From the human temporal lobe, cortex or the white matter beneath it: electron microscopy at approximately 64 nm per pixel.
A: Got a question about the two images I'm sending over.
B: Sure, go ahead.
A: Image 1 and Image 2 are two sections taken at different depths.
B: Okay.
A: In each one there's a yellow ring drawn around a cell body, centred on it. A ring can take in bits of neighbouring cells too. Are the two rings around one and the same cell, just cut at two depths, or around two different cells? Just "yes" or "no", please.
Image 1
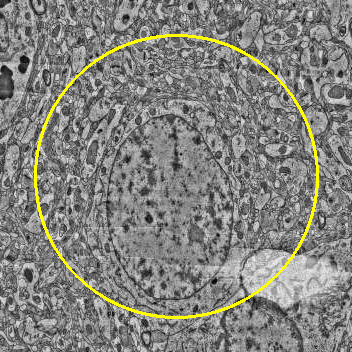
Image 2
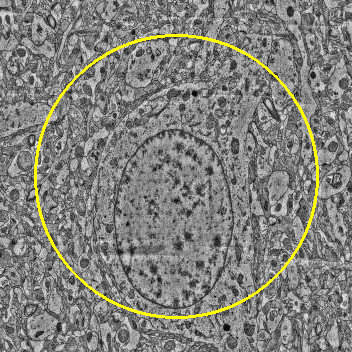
yes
